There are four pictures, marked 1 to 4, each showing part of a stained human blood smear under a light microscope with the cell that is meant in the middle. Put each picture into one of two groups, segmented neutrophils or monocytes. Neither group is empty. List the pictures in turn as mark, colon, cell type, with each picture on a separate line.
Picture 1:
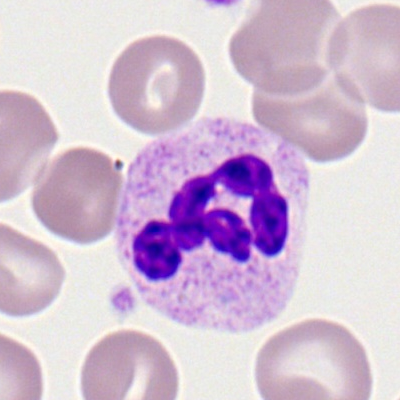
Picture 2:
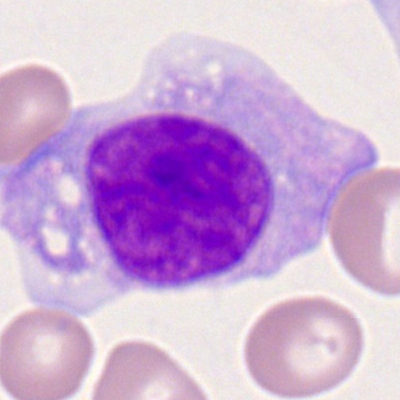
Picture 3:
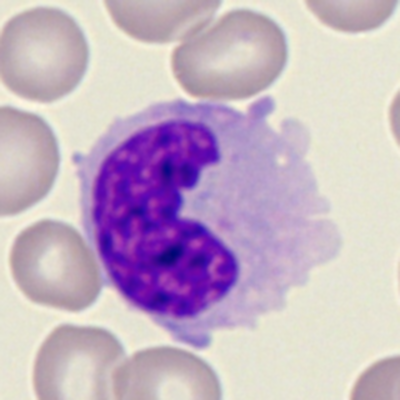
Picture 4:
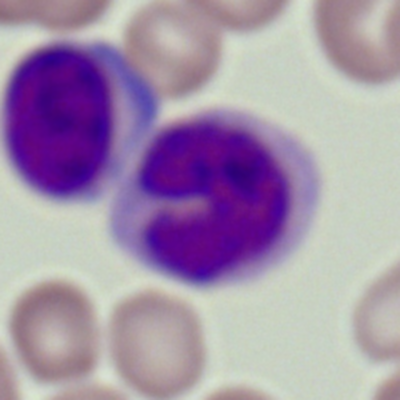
1: segmented neutrophil
2: monocyte
3: monocyte
4: monocyte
